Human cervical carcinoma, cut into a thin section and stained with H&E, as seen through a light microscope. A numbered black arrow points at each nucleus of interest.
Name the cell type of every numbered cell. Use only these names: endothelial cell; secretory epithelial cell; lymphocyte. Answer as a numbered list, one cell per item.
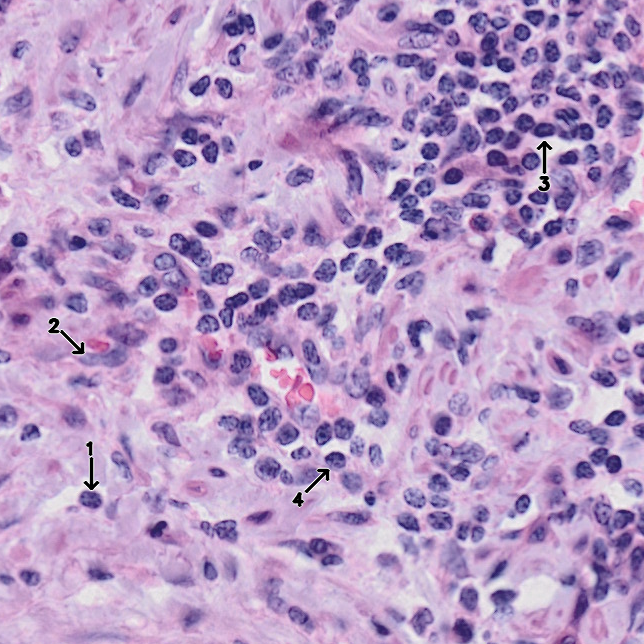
1. lymphocyte
2. endothelial cell
3. lymphocyte
4. lymphocyte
